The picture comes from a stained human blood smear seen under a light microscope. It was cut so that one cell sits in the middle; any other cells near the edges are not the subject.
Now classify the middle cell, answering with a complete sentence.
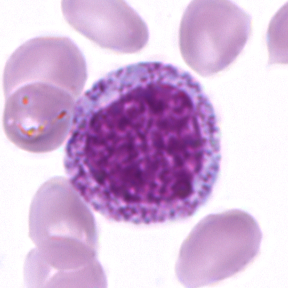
Centrally within this crop lies a myelocyte.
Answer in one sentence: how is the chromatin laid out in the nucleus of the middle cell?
What stands out is chromatin that is coarsely clumped.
